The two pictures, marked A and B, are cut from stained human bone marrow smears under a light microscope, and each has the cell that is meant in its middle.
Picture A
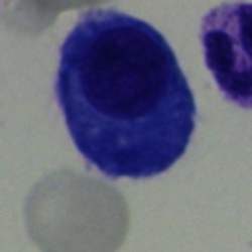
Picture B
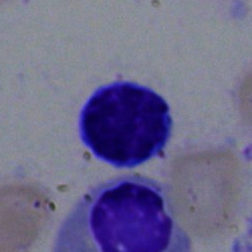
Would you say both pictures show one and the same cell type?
no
